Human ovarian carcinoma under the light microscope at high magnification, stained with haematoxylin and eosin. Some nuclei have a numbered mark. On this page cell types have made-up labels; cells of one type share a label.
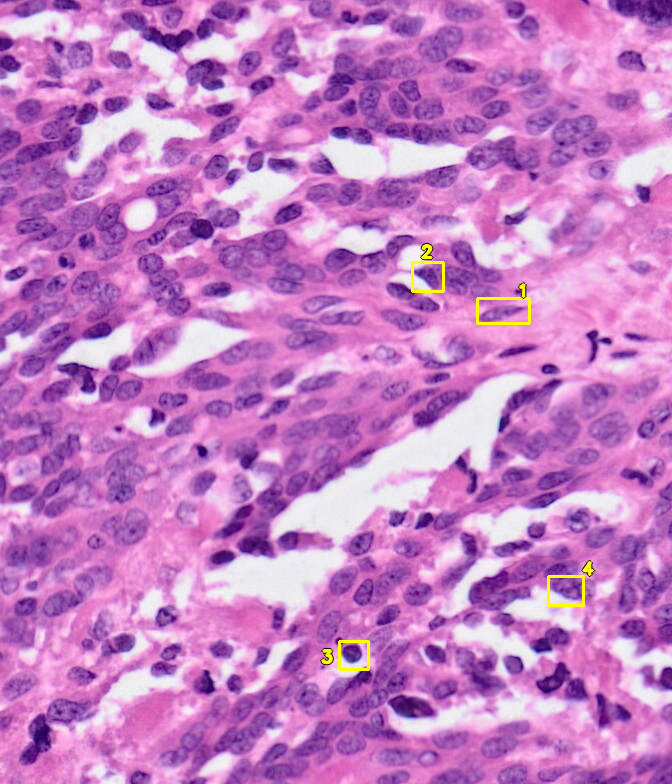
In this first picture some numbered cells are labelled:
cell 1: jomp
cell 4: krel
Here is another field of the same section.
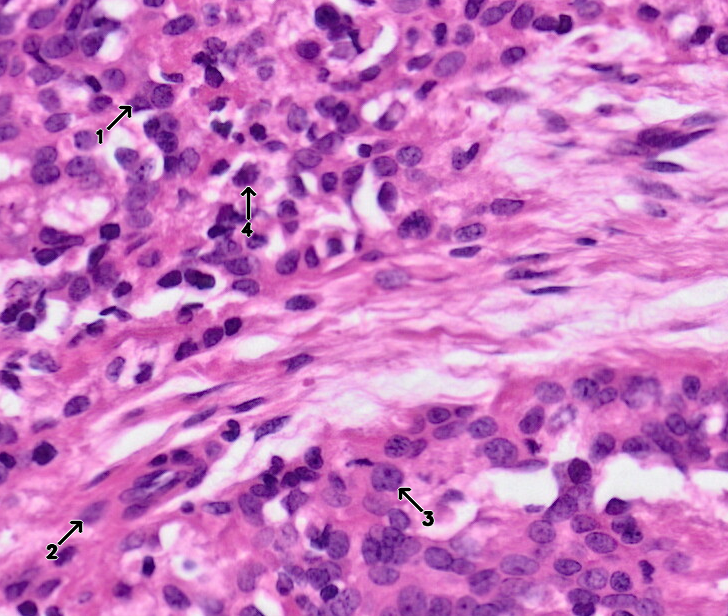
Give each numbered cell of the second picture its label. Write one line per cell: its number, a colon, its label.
1: krel
2: jomp
3: krel
4: krel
